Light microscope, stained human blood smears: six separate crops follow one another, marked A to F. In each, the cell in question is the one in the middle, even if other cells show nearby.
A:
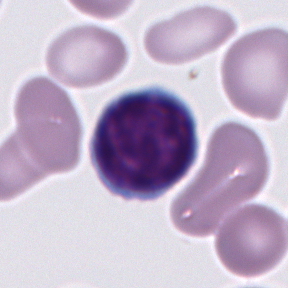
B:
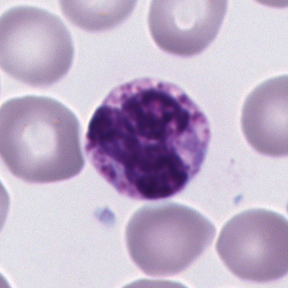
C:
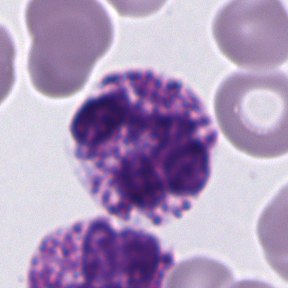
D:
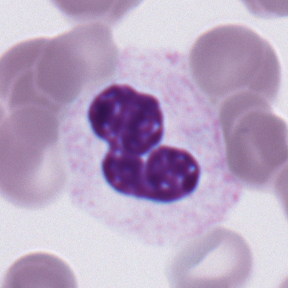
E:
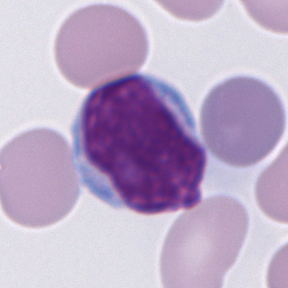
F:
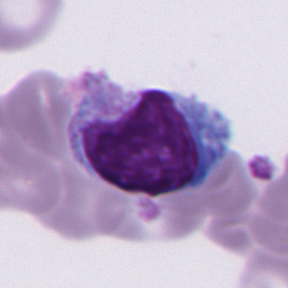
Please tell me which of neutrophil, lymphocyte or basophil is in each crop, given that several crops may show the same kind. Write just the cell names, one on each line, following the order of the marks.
lymphocyte
basophil
basophil
neutrophil
lymphocyte
lymphocyte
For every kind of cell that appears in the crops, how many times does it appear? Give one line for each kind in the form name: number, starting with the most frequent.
lymphocyte: 3
basophil: 2
neutrophil: 1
